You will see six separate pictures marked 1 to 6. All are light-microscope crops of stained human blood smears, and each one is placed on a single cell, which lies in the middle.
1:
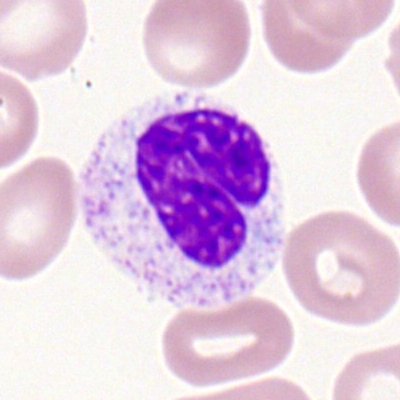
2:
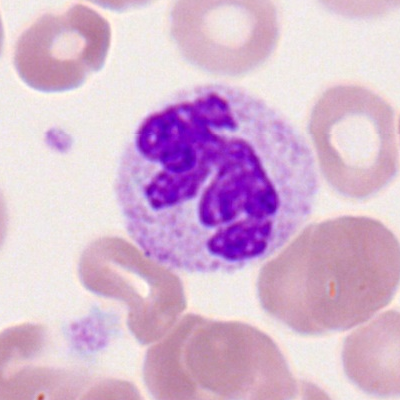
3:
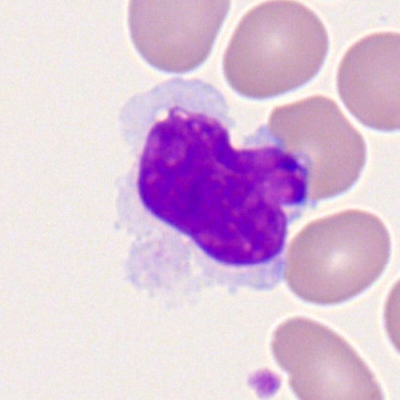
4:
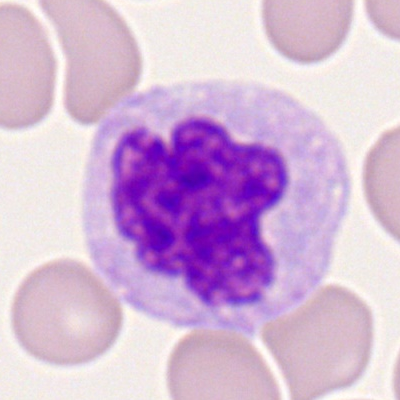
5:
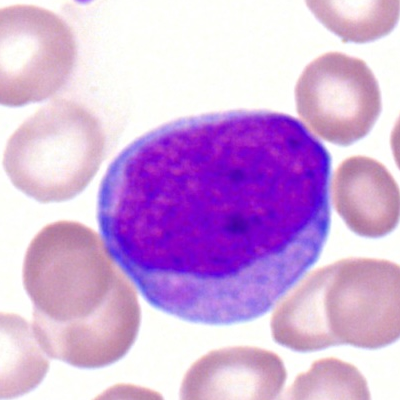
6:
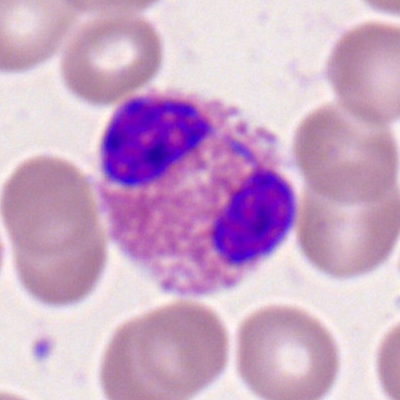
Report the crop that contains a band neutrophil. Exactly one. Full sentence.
Among the crops, only crop 1 contains a band neutrophil.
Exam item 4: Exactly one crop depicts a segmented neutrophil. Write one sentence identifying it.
Crop 2 is where a segmented neutrophil is shown.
